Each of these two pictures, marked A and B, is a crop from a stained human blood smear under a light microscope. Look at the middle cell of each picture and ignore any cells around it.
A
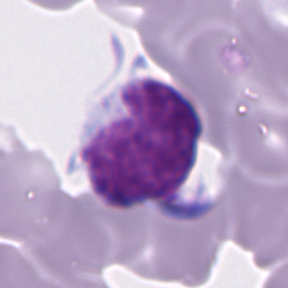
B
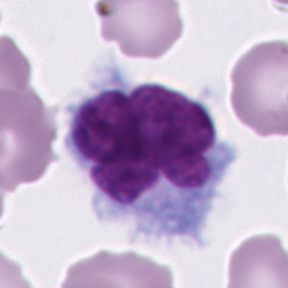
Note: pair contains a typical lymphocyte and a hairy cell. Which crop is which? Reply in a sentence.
In crop A there is a typical lymphocyte, and in crop B there is a hairy cell.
